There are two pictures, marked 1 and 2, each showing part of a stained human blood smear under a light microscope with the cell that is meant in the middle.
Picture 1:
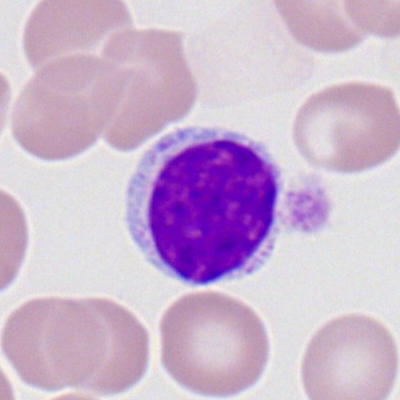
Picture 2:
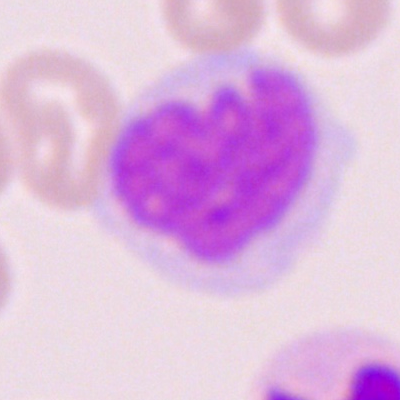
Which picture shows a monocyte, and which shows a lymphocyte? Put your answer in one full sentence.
In picture 1 the cell is a lymphocyte; in picture 2, a monocyte.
